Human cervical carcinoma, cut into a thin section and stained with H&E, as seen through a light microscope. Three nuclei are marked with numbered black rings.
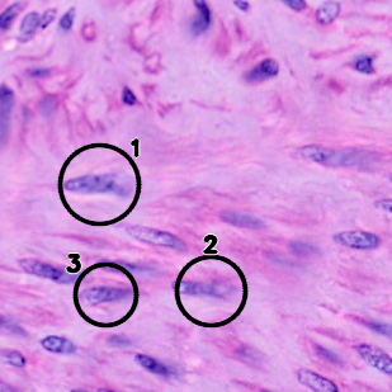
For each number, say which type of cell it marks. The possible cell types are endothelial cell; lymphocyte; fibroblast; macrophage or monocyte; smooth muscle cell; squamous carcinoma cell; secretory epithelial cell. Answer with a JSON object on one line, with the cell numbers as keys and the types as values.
{"1": "fibroblast", "2": "smooth muscle cell", "3": "smooth muscle cell"}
